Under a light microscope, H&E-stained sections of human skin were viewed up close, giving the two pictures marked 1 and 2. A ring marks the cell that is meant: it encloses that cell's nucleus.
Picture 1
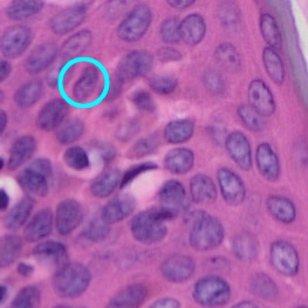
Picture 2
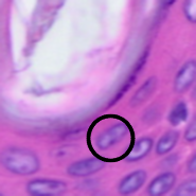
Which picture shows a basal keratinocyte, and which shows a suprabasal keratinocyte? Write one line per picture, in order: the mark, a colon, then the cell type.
1: basal keratinocyte
2: suprabasal keratinocyte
